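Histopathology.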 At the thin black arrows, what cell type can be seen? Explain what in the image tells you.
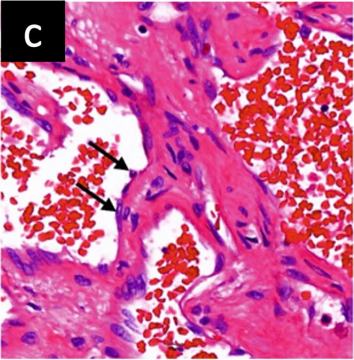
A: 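Bland endothelial cells. The arrows point to flat, elongated nuclei lining the edge of a blood-filled space. The lining is a single cell thick over pink fibrous septa. The nuclei are small and uniform.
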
